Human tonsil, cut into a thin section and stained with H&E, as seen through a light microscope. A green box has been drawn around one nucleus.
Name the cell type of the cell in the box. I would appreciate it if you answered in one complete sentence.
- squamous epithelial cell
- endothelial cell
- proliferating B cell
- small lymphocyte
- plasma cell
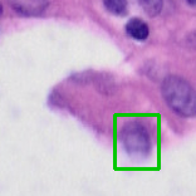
Speaking plainly, the cell in the box is nothing other than a squamous epithelial cell.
